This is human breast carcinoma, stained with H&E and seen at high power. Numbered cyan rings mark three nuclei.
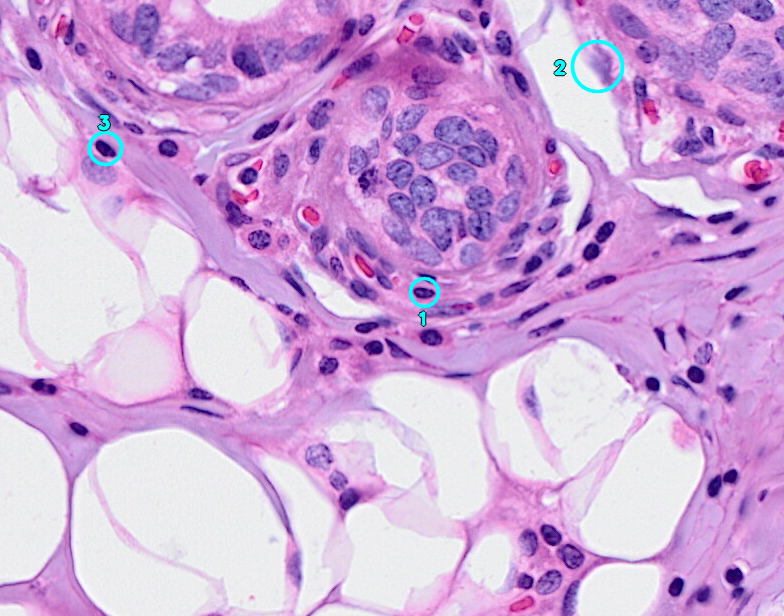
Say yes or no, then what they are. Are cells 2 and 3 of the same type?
No, cell 2 is a fibroblast and cell 3 is a lymphocyte.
